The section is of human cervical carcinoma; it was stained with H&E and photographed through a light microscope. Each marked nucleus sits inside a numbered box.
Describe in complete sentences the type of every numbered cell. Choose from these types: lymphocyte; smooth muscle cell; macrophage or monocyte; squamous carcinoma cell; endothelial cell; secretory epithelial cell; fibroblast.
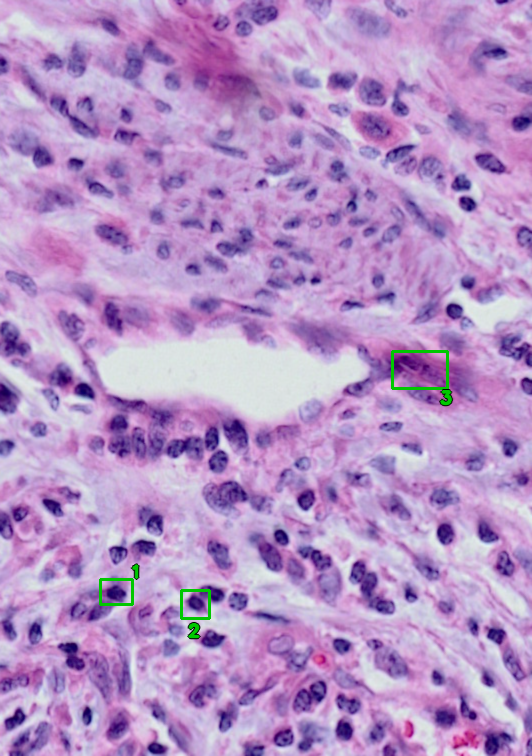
Cells 1 and 2 are lymphocytes. Cell 3 is an endothelial cell.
